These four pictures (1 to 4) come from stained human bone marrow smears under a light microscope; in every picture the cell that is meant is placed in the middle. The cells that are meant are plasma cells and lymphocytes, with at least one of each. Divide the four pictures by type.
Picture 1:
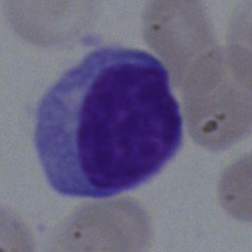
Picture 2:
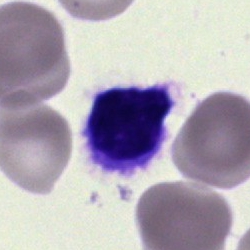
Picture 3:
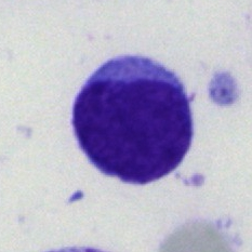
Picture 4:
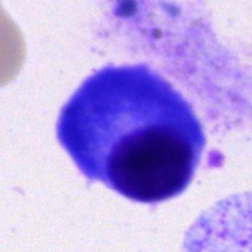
1: plasma cell
2: lymphocyte
3: lymphocyte
4: plasma cell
